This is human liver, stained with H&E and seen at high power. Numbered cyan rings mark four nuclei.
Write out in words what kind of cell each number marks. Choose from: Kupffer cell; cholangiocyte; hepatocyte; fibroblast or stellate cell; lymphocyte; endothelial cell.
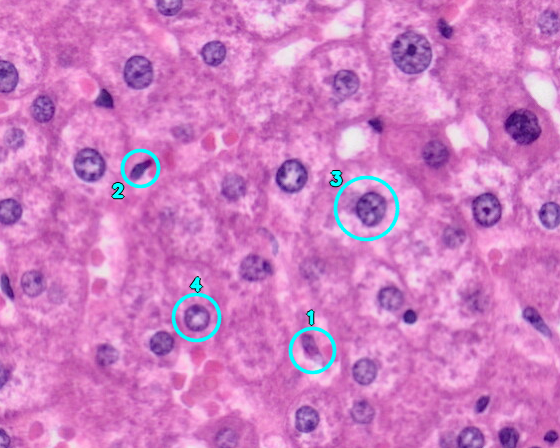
Cell 1 is a Kupffer cell. Cell 2 is a lymphocyte. Cells 3 and 4 are hepatocytes.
